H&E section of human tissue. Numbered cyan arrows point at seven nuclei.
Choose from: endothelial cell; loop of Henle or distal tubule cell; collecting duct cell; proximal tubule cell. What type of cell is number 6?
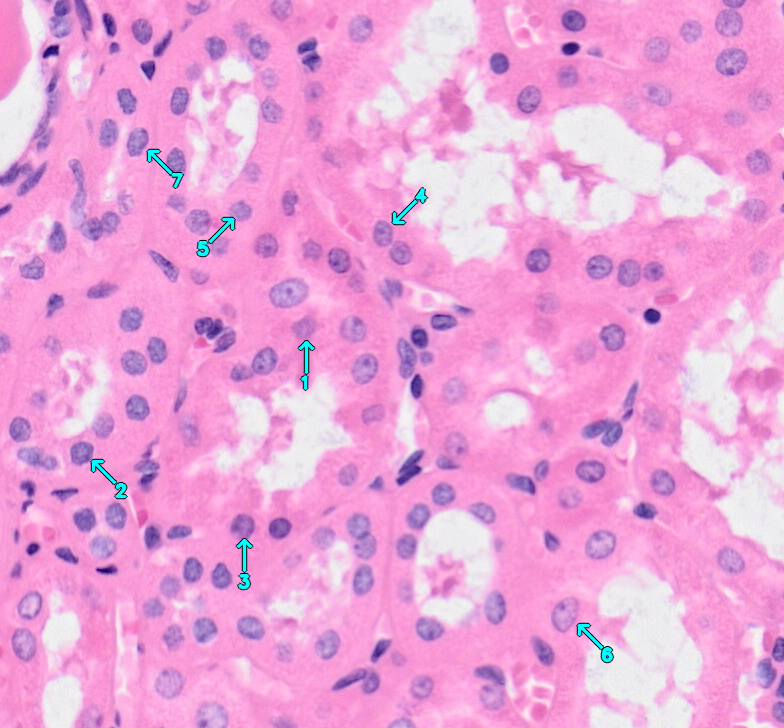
proximal tubule cell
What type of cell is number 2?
loop of Henle or distal tubule cell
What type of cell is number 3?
proximal tubule cell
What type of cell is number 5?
loop of Henle or distal tubule cell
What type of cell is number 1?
proximal tubule cell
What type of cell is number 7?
loop of Henle or distal tubule cell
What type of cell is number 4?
proximal tubule cell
